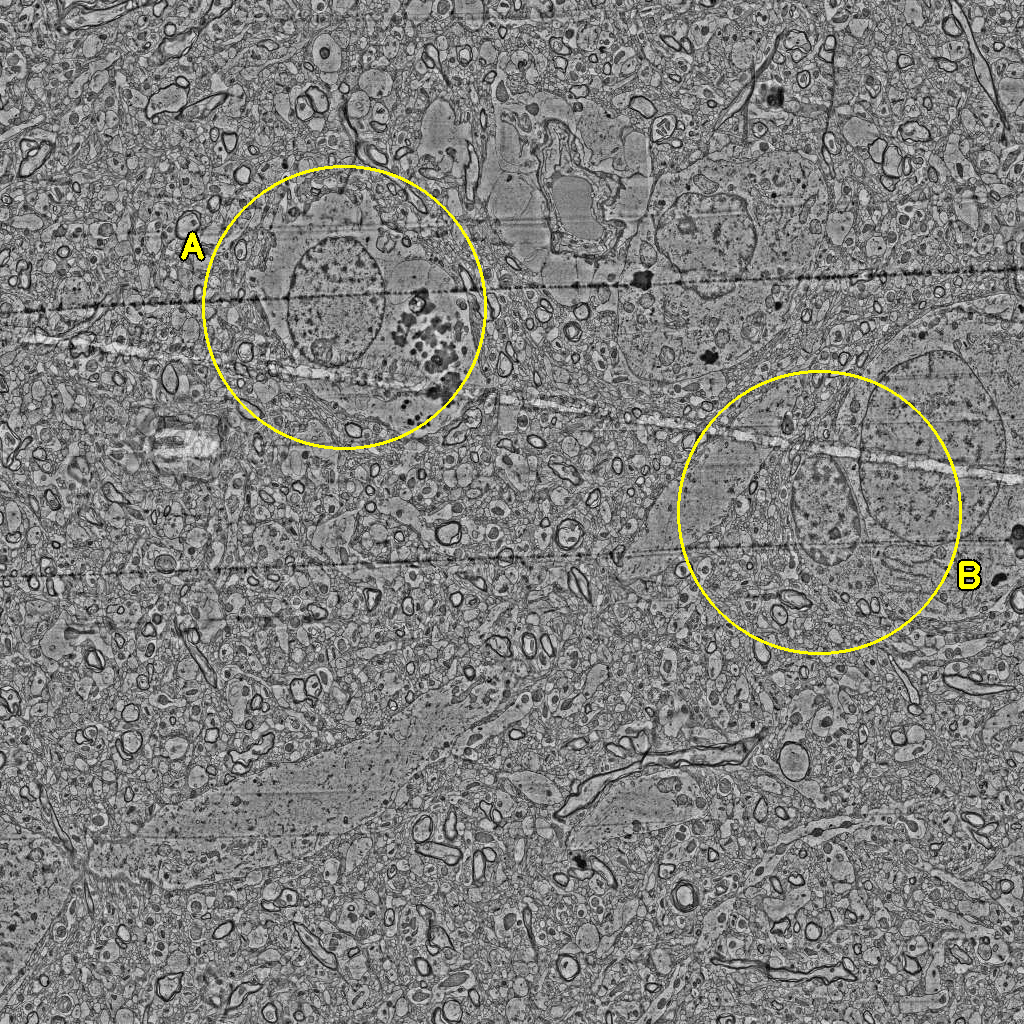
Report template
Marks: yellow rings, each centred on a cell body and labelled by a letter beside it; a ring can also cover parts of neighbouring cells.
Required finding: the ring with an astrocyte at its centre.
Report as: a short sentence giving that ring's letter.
Ring A holds that cell at its centre.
